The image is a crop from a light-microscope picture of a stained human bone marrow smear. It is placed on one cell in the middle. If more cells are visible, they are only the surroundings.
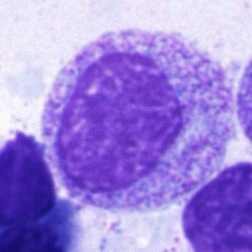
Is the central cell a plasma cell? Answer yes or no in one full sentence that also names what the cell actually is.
No, that is not a plasma cell; the middle cell is a myelocyte.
